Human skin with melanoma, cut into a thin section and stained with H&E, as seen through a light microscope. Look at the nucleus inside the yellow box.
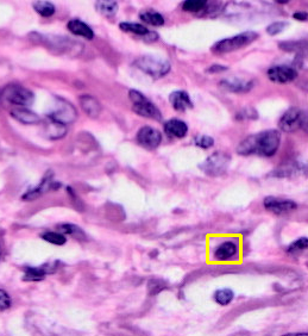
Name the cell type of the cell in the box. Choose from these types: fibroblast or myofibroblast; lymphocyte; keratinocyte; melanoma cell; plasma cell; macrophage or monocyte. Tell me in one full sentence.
Within this tissue, the cell in the box is a plasma cell.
